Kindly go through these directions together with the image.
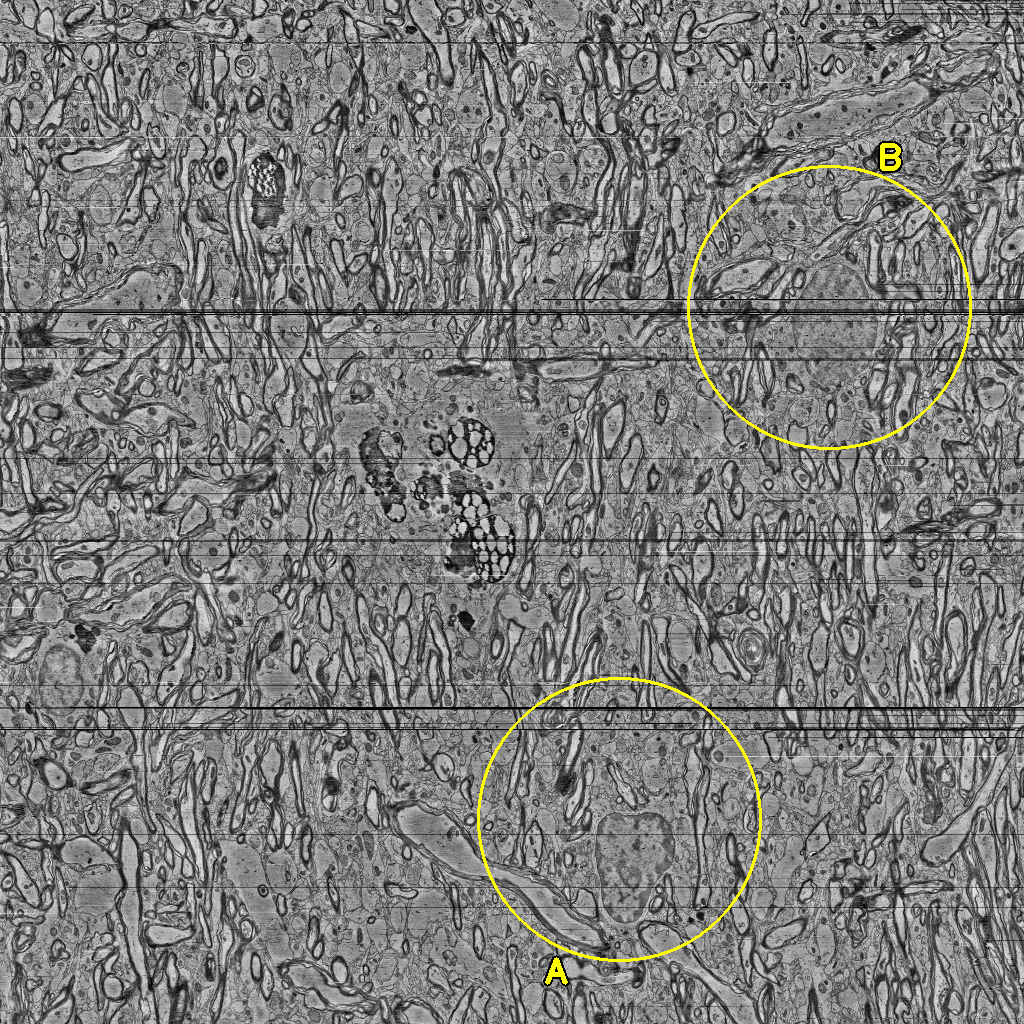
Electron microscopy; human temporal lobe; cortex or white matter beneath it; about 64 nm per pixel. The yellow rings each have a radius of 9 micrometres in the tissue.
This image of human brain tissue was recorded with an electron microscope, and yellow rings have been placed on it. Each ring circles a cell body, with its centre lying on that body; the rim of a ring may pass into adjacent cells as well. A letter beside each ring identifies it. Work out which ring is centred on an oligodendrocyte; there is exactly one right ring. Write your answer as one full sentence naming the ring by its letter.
Ring B is the one whose centre lies on a cell of that kind.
